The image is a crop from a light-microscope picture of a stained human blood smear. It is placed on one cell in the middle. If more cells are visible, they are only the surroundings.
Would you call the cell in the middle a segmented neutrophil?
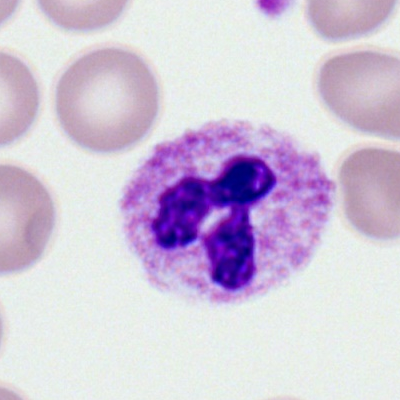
yes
